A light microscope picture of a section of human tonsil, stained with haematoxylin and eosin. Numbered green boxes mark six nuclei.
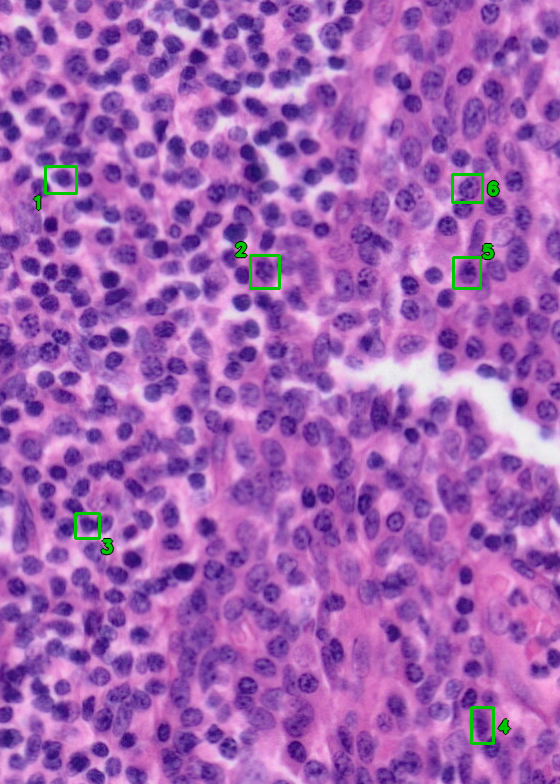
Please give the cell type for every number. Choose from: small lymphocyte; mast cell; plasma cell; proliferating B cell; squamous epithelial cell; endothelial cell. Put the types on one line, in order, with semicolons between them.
small lymphocyte; plasma cell; small lymphocyte; squamous epithelial cell; plasma cell; plasma cell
